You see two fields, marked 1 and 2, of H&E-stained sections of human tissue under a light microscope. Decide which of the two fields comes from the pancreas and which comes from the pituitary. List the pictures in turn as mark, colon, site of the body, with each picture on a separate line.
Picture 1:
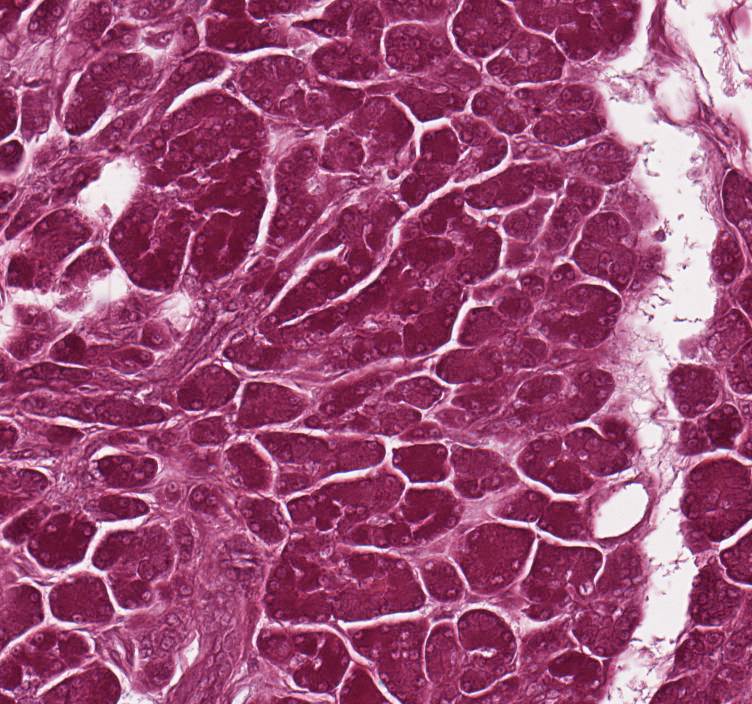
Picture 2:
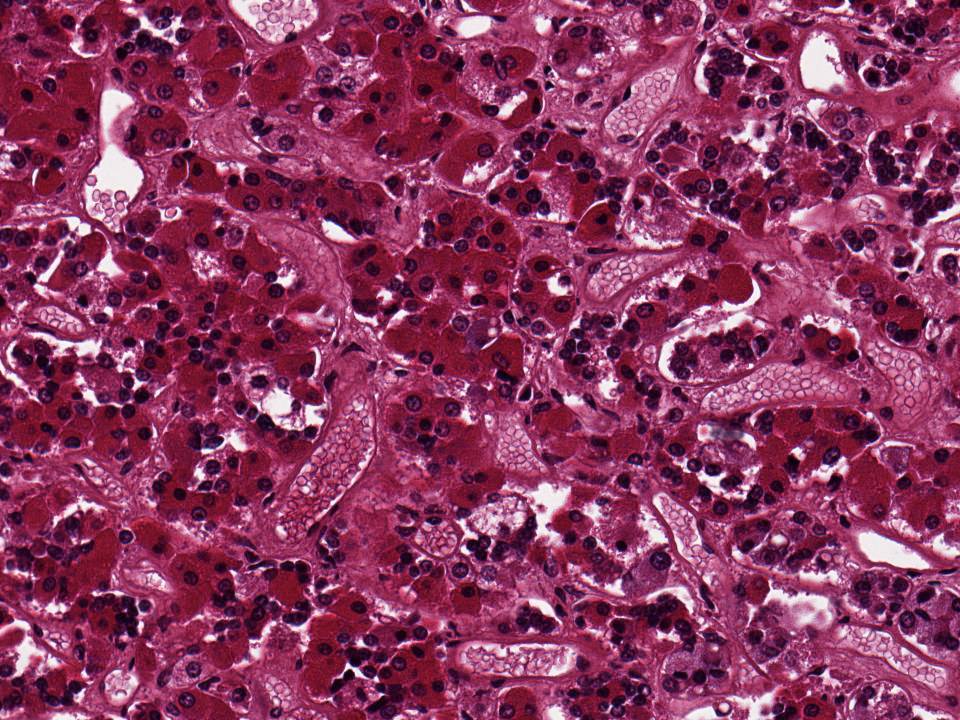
1: pancreas
2: pituitary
